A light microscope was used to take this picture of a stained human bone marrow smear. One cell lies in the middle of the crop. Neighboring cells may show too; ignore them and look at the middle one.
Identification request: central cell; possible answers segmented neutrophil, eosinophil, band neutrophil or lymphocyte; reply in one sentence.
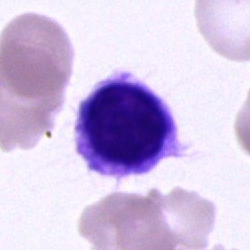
This crop has a lymphocyte at its centre.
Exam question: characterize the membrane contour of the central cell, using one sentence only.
The cytoplasmic margin is uneven, whether through ragged segments or through projections.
